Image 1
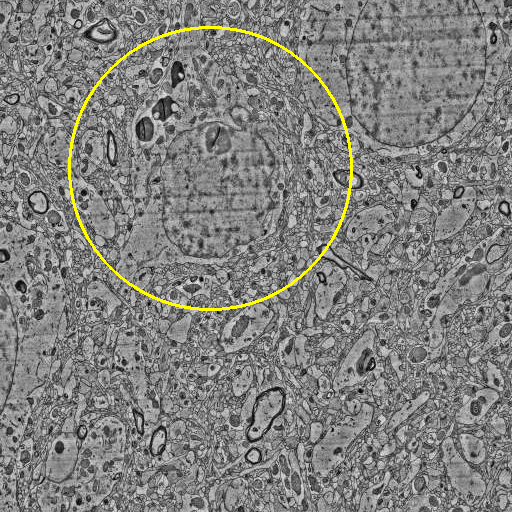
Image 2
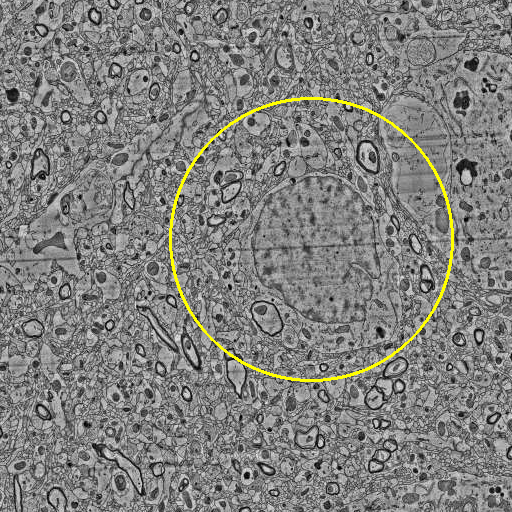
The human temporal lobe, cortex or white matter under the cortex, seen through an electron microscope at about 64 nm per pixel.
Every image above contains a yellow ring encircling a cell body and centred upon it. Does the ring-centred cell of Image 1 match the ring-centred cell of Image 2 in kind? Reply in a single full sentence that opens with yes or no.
Yes, the cell at the ring's centre in Image 1 is the same kind as that in Image 2.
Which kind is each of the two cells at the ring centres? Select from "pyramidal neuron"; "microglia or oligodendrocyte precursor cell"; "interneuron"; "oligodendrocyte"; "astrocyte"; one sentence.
The cell in the first picture is an interneuron, and so is the one in the second.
